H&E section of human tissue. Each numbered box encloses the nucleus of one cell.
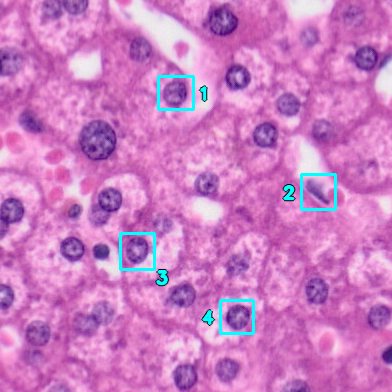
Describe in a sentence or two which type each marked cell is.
Cell 1 is a hepatocyte, cell 2 is an endothelial cell, cell 3 is a hepatocyte and cell 4 is a hepatocyte.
